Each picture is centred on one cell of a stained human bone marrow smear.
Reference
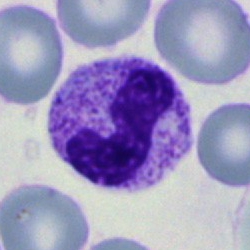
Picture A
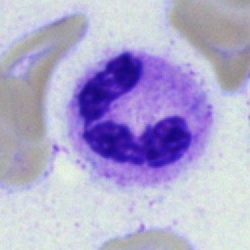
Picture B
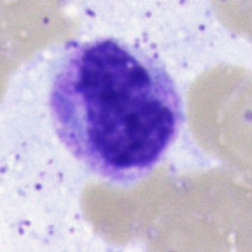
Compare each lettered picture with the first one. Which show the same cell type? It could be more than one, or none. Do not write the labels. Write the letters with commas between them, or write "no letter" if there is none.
A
